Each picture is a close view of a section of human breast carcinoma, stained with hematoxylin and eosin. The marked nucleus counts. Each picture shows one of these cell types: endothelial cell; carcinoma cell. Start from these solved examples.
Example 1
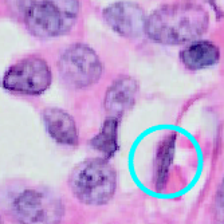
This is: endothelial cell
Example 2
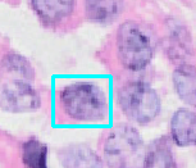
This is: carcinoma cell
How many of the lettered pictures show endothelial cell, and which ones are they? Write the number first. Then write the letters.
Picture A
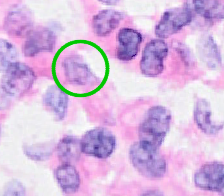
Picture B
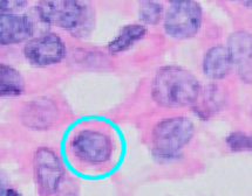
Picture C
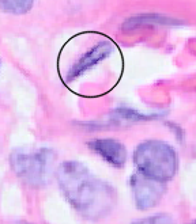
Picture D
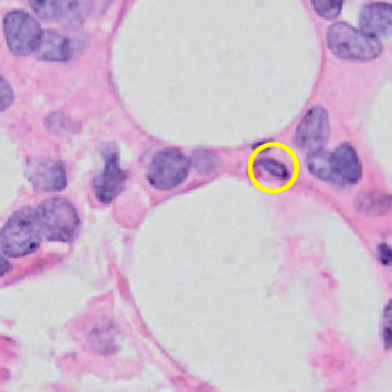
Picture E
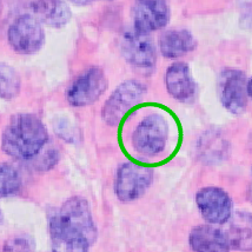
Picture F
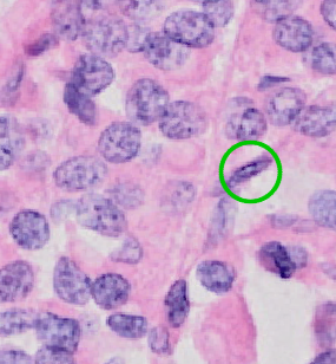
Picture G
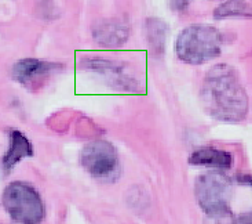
Count: 4 (C, D, F, G)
